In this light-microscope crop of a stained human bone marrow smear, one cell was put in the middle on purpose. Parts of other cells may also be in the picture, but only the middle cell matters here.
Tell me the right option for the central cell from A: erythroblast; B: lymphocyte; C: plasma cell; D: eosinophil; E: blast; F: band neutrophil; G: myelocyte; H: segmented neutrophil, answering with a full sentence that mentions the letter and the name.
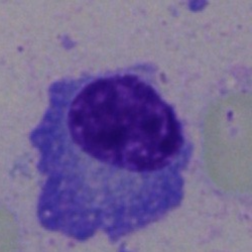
Option C, which names the central cell as a plasma cell, is correct.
